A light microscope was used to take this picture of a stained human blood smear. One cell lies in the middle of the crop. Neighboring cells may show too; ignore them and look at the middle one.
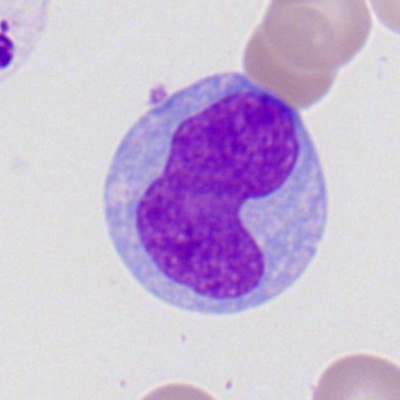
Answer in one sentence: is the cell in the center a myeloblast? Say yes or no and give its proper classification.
No, the cell of interest here is a monocyte and not a myeloblast.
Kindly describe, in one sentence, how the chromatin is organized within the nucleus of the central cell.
The nuclear chromatin is fine, showing no coarse aggregates.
